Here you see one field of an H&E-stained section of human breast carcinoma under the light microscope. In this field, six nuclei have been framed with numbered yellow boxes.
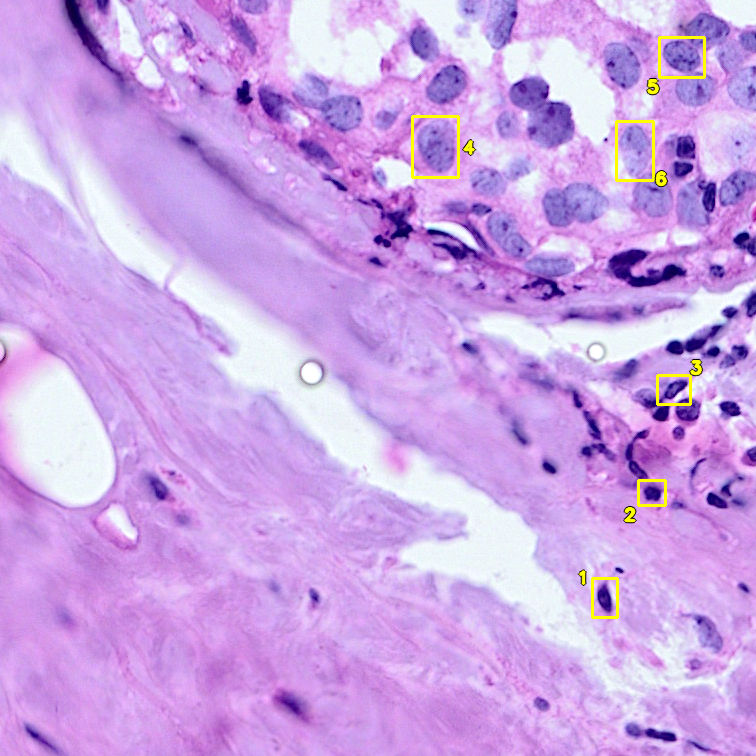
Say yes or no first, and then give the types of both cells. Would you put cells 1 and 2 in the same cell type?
Yes, both are lymphocytes.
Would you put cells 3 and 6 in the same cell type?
No, cell 3 is a lymphocyte and cell 6 is a carcinoma cell.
